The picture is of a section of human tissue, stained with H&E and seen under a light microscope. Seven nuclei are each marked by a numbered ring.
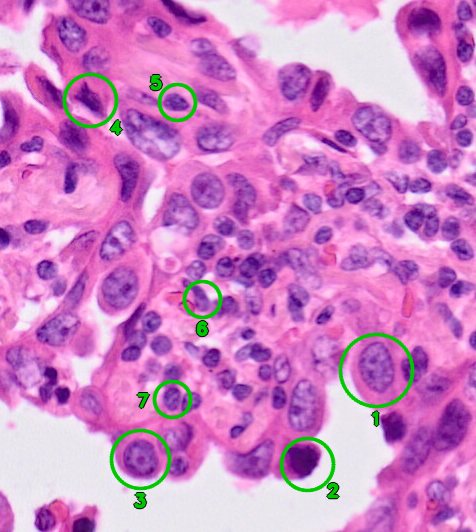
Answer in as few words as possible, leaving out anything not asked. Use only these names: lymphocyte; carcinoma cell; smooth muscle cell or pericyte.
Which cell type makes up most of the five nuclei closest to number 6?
lymphocyte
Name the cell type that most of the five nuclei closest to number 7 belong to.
lymphocyte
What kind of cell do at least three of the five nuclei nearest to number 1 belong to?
carcinoma cell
